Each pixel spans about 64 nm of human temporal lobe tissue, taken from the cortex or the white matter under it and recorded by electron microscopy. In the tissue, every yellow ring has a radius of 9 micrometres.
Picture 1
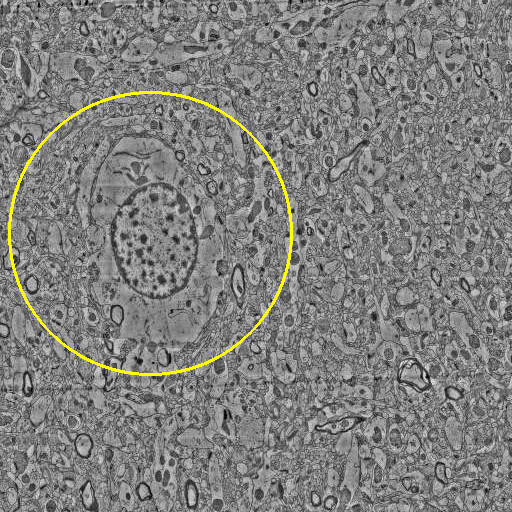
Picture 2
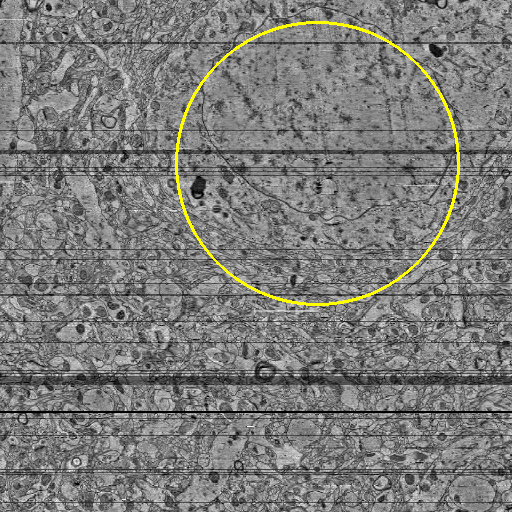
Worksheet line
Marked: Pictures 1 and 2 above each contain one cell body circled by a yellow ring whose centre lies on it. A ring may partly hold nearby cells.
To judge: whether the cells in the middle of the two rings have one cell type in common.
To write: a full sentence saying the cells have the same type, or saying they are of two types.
The cells in the middle of the rings in Picture 1 and Picture 2 are of two types.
